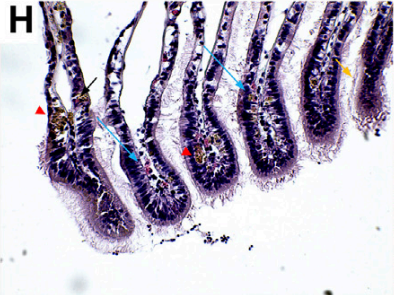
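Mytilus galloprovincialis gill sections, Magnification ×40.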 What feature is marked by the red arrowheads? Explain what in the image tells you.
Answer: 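The arrowheads lie beside clumps of yellow-brown granular pigment. The pigment clumps sit inside the filaments. So: lipofuscin aggregates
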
